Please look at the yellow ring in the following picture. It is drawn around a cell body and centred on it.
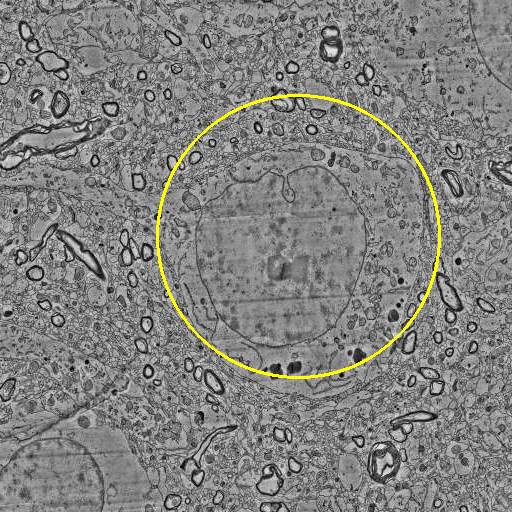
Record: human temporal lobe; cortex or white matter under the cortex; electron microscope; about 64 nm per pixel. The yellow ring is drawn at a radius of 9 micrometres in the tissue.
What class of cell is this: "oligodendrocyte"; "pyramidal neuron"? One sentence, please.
The ring surrounds the cell body of a pyramidal neuron.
